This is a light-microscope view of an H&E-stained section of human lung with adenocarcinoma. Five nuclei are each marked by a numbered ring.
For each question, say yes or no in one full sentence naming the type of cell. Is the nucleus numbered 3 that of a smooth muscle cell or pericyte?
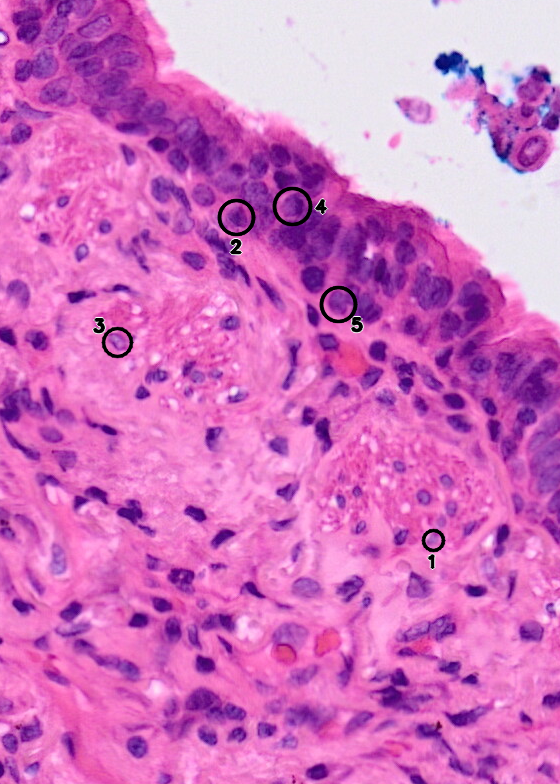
Yes, the cell bearing the number 3 is a smooth muscle cell or pericyte.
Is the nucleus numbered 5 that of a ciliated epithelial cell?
Yes, it is a ciliated epithelial cell that carries the number 5.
